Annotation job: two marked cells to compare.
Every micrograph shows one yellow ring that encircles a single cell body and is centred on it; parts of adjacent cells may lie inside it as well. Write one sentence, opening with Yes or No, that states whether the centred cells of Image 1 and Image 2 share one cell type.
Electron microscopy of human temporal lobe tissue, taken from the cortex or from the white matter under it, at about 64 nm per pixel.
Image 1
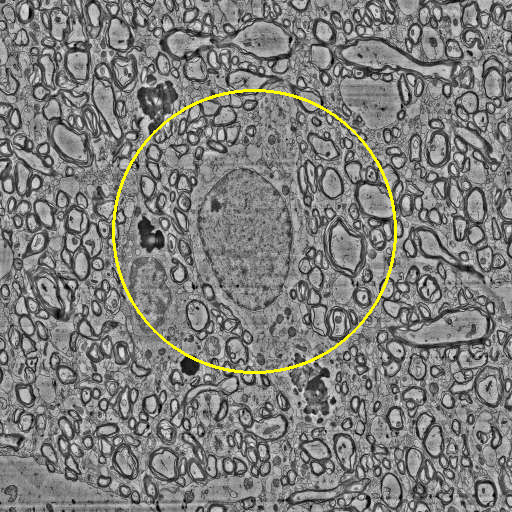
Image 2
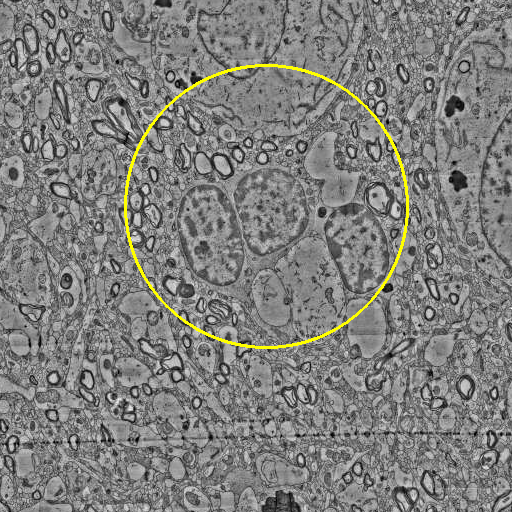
No, the cell centred in Image 1 and the cell centred in Image 2 are of two types.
